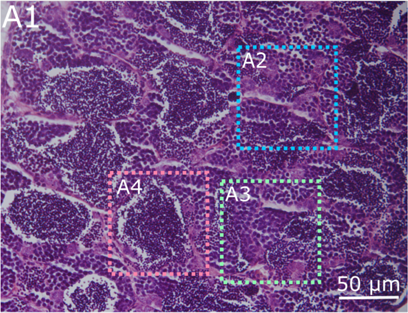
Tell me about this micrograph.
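This is a section of testis in which rounded and irregular clusters of tiny, densely packed, dark purple nuclei fill the spaces between the tissue. Between these dark clusters lie pinker areas where the cells are larger, with paler cytoplasm and more loosely spaced nuclei, and thin white clefts run through the tissue separating the compartments.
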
